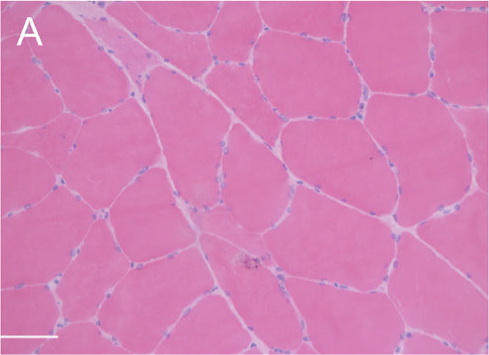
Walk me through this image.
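Transverse section of skeletal muscle with closely packed, polygonal myofibers stained pink. The fibers vary mildly in diameter. Small dark purple nuclei lie at the periphery of the fibers, just beneath the cell boundary. Thin pale pink endomysial connective tissue separates neighbouring fibers.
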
